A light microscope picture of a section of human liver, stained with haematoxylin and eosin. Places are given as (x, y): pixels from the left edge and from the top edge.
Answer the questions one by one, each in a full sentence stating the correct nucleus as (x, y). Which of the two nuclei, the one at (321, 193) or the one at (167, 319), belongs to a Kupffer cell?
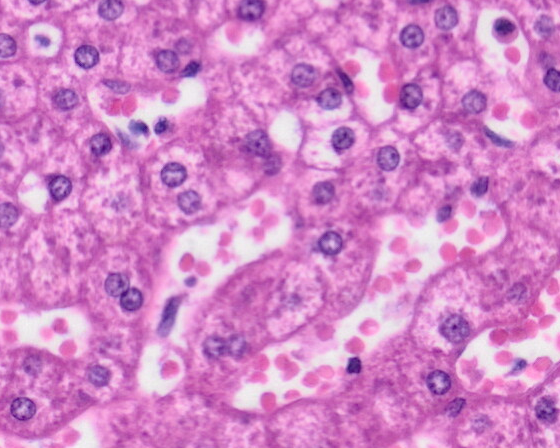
The nucleus that belongs to a Kupffer cell is located at (167, 319).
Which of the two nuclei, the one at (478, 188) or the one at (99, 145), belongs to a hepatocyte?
The nucleus located at (99, 145) is the one held within a hepatocyte.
